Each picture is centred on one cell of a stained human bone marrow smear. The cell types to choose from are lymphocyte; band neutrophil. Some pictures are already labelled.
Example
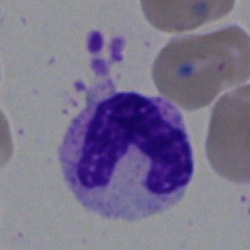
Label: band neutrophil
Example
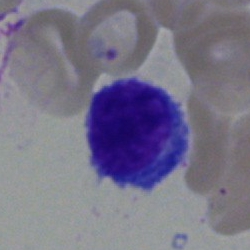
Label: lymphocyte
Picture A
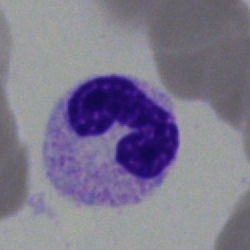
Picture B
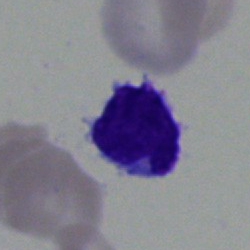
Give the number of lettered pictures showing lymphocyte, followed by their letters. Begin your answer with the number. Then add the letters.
1: B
